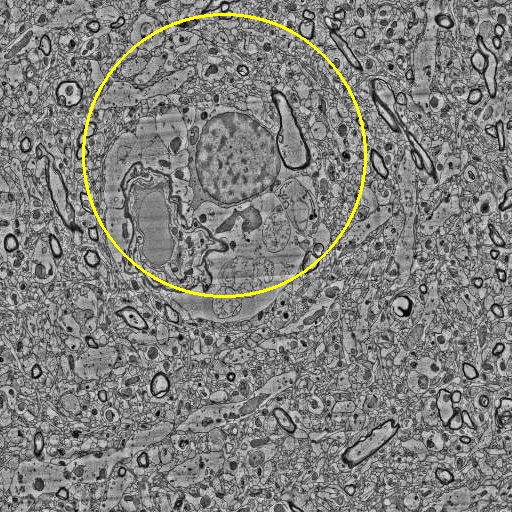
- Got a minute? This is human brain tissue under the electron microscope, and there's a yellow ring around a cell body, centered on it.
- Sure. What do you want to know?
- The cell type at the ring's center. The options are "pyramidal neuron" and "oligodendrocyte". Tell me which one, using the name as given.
oligodendrocyte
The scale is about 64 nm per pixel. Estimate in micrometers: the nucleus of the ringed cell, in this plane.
In this plane, approximately 6 micrometres across.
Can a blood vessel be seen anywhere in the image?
Yes, a blood vessel can be seen.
